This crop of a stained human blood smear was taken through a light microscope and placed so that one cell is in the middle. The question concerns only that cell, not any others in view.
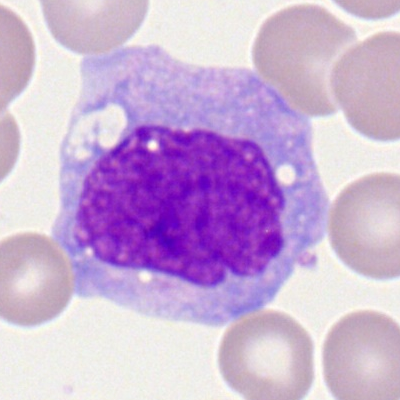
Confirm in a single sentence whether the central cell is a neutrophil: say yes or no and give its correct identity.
No, the cell in the middle is not a neutrophil but a monocyte.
